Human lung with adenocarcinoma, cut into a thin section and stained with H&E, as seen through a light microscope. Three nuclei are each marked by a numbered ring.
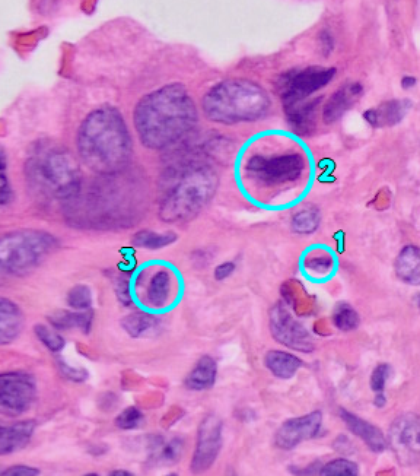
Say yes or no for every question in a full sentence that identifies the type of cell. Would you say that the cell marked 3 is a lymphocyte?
Yes, the cell with number 3 is a lymphocyte.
